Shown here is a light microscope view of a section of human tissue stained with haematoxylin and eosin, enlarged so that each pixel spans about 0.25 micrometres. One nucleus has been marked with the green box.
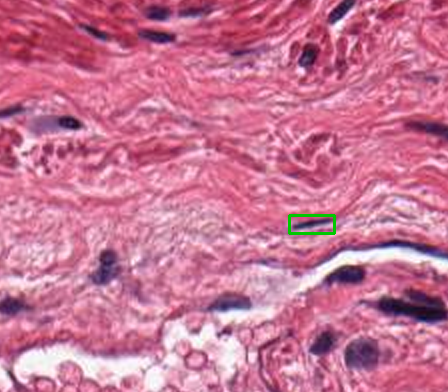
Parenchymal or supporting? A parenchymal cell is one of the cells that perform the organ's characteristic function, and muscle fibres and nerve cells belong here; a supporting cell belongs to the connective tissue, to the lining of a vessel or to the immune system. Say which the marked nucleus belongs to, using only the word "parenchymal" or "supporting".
supporting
